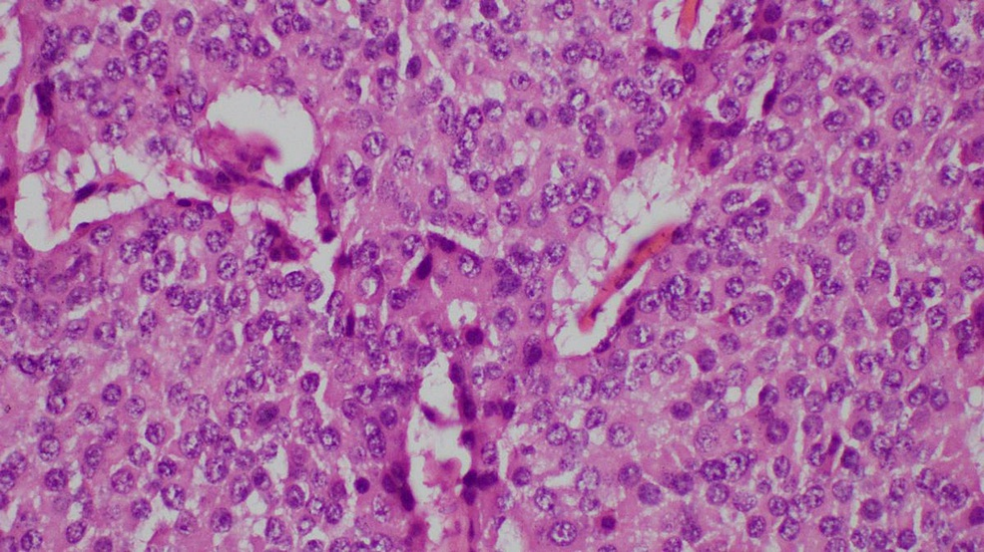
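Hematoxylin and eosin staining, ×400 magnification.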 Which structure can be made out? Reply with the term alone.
Nests and trabeculae of tumor cells.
